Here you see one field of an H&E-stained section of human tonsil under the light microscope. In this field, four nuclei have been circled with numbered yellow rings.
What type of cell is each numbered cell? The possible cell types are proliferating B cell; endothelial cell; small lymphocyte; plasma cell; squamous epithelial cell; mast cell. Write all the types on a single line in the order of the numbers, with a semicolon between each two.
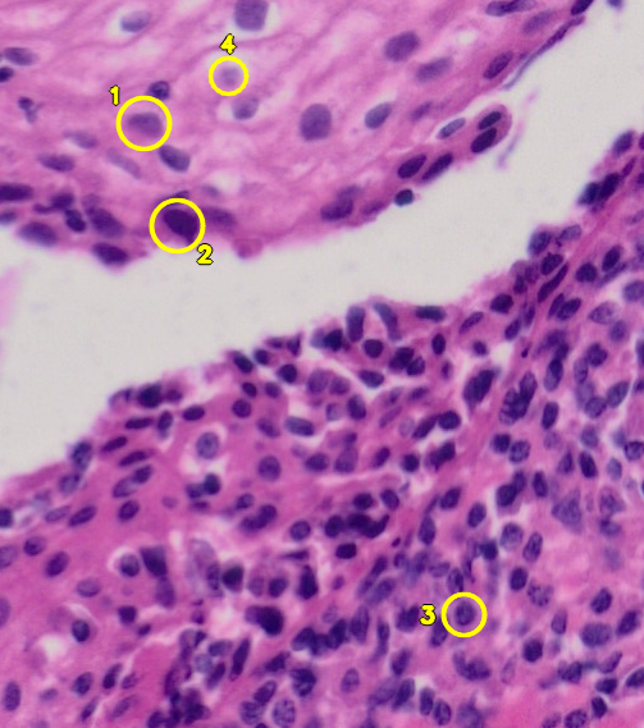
squamous epithelial cell; squamous epithelial cell; plasma cell; squamous epithelial cell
